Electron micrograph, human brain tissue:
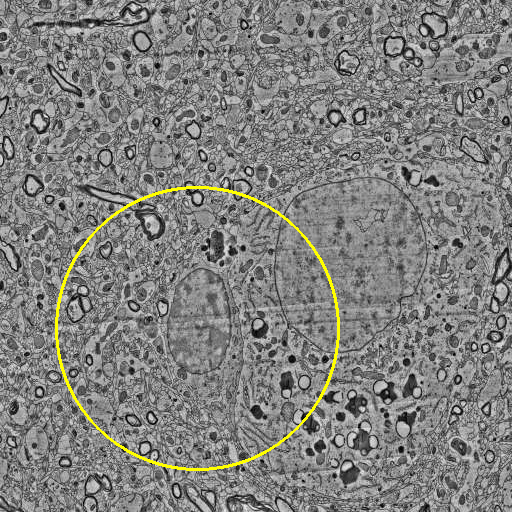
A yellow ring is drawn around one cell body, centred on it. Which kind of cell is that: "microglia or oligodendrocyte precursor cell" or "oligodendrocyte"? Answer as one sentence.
It is an oligodendrocyte at the centre of the ring.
